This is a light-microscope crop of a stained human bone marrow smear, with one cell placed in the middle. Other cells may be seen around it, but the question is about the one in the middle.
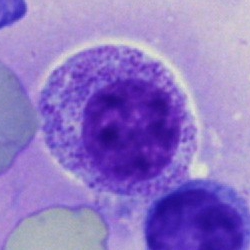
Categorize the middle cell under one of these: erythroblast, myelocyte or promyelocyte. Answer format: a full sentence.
The central element of this crop is a cell, namely a myelocyte.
